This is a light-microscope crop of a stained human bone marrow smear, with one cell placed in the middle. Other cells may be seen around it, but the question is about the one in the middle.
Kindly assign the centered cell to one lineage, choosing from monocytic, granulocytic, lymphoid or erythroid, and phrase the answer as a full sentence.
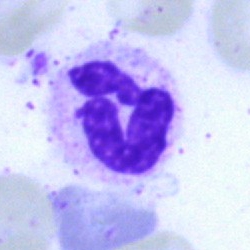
The cell at the crop's center is part of the granulocytic lineage.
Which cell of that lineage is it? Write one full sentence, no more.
In the middle of this smear crop, the cell is a segmented neutrophil.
